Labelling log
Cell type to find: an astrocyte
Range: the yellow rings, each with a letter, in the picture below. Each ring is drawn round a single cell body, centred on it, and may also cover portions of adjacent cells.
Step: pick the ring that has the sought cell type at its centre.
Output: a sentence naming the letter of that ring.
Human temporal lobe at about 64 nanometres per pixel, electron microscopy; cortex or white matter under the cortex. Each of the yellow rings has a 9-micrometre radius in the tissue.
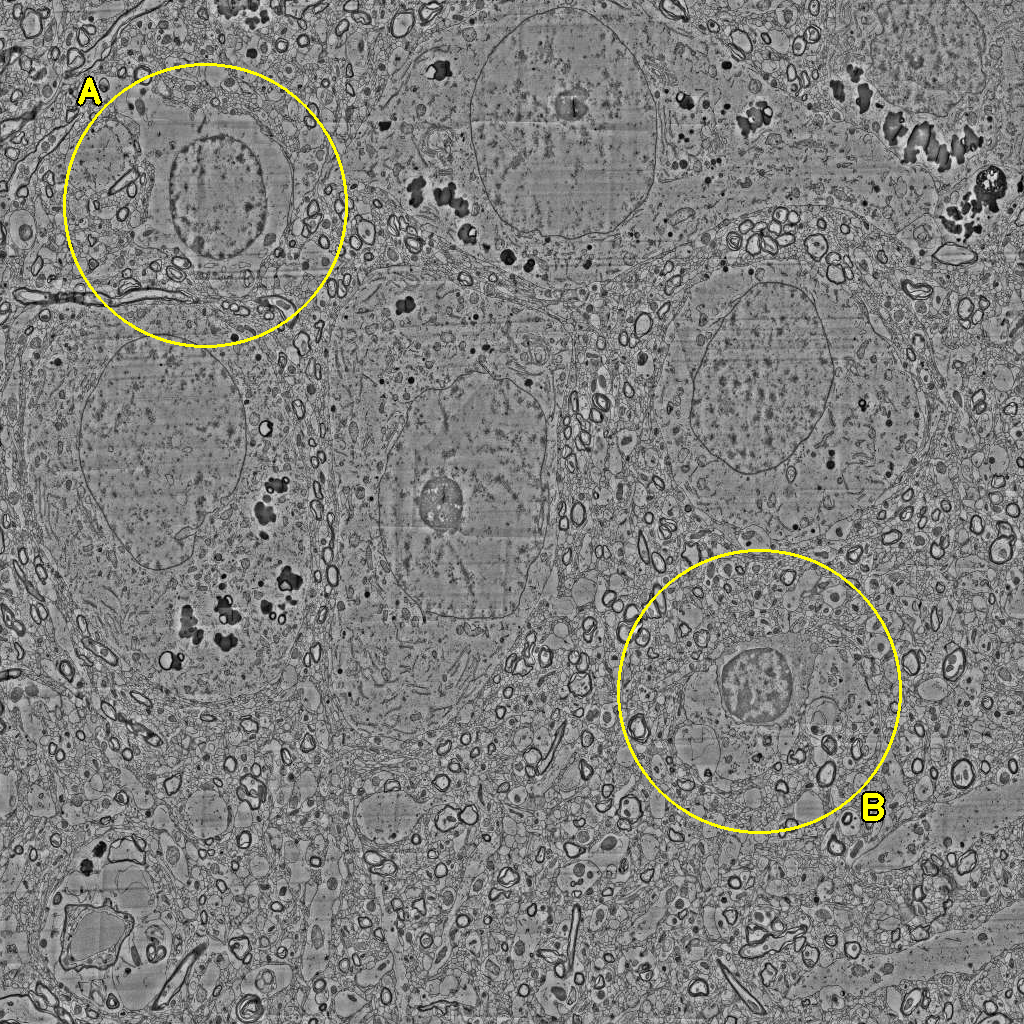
Ring A is the one with the cell asked for at its centre.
